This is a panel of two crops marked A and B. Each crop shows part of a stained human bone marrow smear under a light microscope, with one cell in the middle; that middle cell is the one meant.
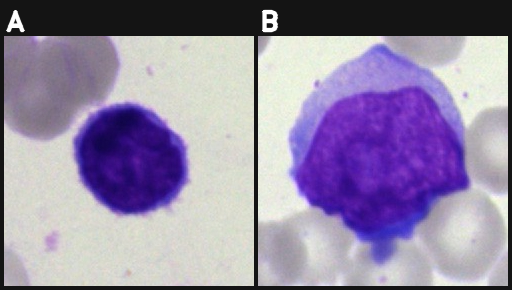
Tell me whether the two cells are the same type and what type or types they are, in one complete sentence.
No, as for crop A, it shows a lymphocyte, and crop B shows a blast.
